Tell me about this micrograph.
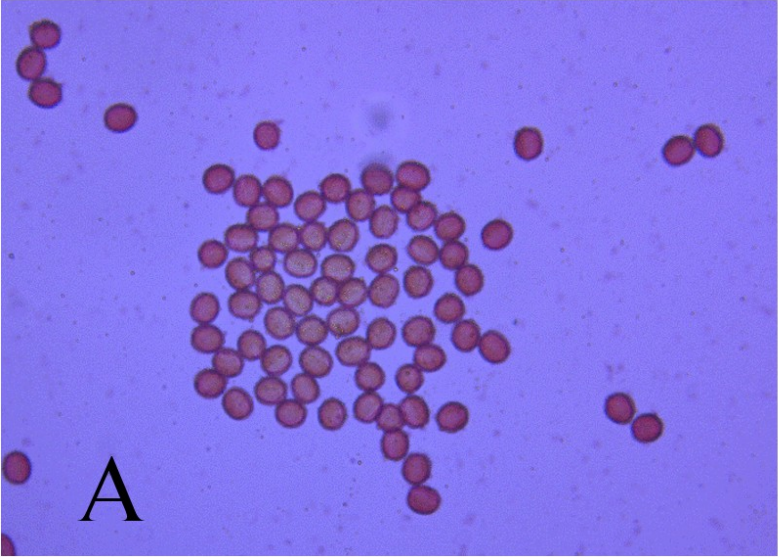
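Loose pollen grains on a pale lilac background, seen at low power. Most lie heaped in a roughly circular cluster in the middle, while a few lie scattered singly or in pairs around it. The grains are round to slightly oval and fairly uniform in size. Each has a thick, darker red-brown rim and contents stained red-purple, with a finely granular appearance and a lighter centre in many. No grains in the cluster look empty or collapsed; all take up the red stain. Small dark specks of debris are scattered across the background.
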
